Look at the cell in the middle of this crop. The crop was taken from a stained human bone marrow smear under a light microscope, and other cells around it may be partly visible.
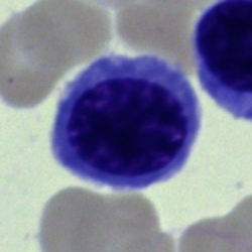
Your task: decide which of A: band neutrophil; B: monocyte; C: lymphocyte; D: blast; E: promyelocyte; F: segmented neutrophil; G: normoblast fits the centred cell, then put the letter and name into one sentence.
The cell in the center of this crop is a normoblast, so option G is the one to pick.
